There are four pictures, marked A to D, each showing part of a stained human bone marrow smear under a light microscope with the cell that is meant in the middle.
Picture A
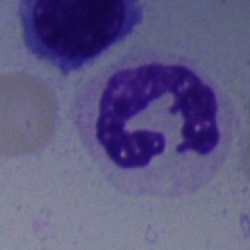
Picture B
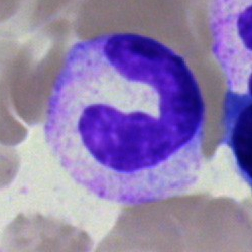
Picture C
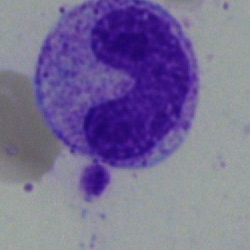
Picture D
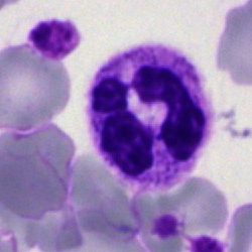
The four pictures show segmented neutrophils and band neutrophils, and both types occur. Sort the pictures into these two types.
A: segmented neutrophil
B: band neutrophil
C: band neutrophil
D: segmented neutrophil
